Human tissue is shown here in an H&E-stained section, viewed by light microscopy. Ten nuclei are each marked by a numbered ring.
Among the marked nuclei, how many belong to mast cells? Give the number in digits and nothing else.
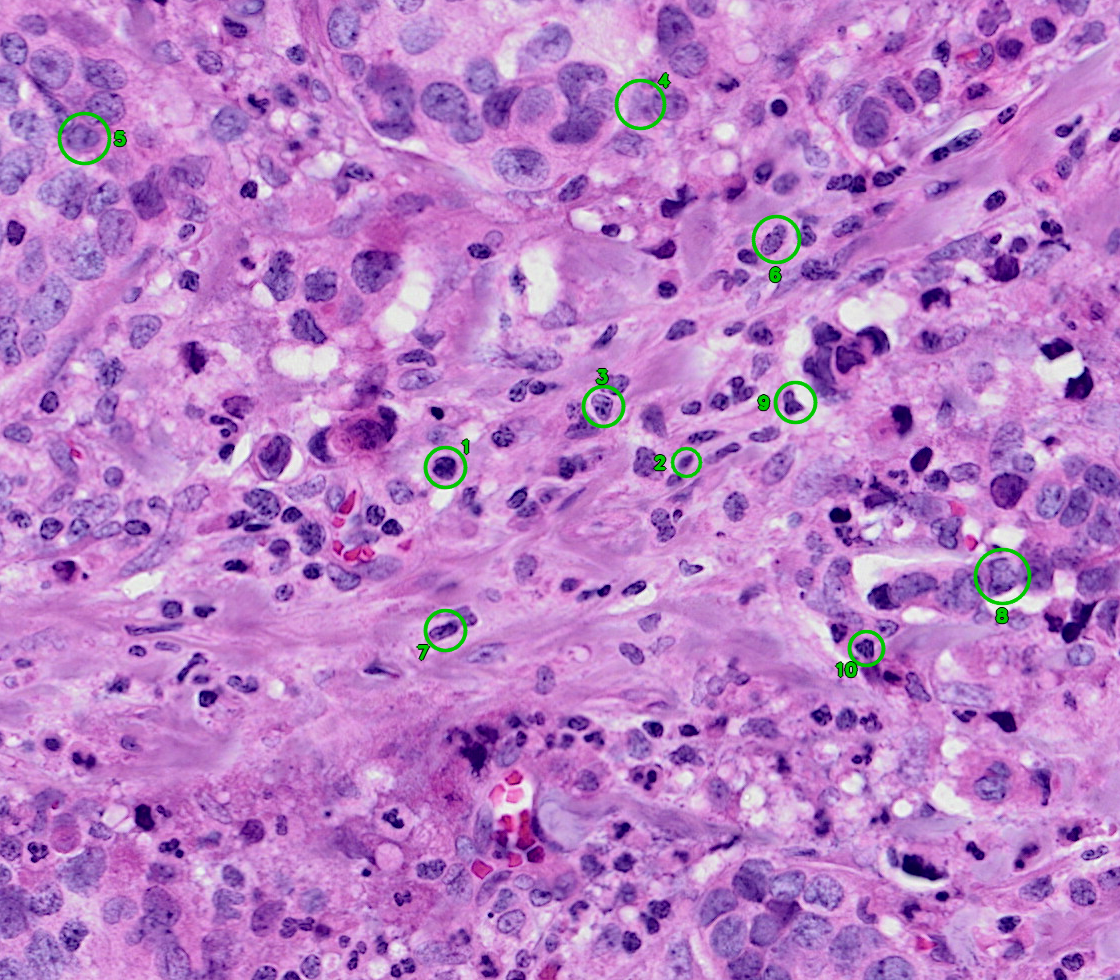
1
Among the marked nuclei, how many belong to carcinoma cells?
3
